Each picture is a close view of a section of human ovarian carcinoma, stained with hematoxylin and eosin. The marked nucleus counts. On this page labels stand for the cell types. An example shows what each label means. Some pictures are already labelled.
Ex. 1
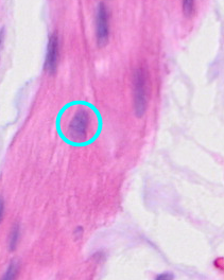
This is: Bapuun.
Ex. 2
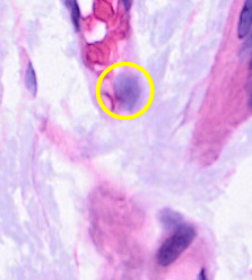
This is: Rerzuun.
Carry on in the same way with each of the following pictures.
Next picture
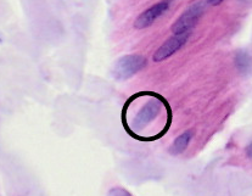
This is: Bapuun.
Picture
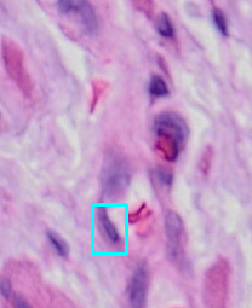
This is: Rerzuun.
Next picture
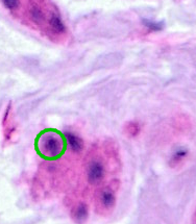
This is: Bapuun.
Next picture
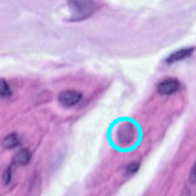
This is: Bapuun.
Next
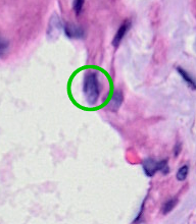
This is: Rerzuun.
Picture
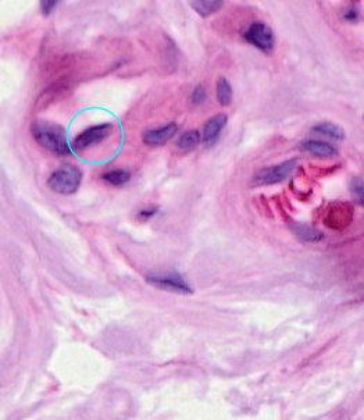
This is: Rerzuun.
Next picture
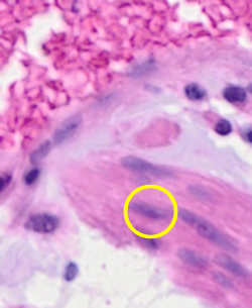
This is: Bapuun.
